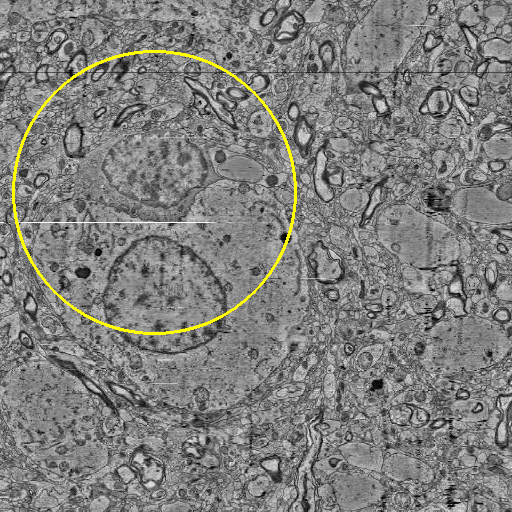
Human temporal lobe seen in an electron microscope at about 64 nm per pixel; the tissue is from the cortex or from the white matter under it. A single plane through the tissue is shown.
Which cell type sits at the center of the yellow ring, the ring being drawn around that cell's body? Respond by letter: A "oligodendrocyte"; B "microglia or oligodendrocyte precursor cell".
A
